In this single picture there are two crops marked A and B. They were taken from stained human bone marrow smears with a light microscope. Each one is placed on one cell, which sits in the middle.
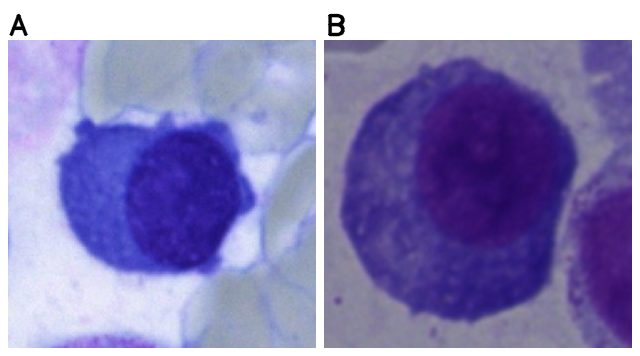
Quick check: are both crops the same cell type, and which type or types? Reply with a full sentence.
Yes, both crops do show plasma cells in the middle.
